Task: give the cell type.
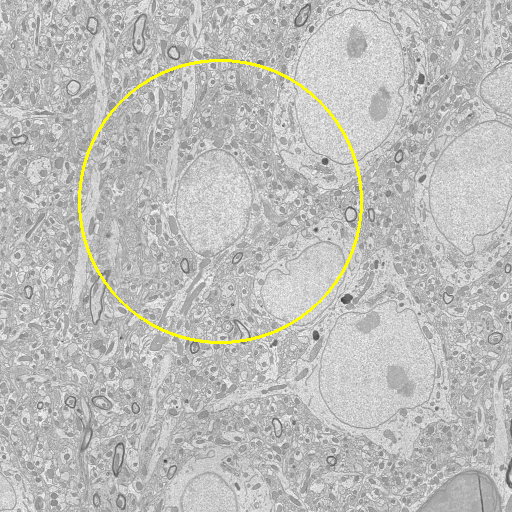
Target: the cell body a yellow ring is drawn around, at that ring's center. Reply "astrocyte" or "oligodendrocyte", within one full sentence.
In this picture, the cell whose body lies at the ring's center is an astrocyte.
